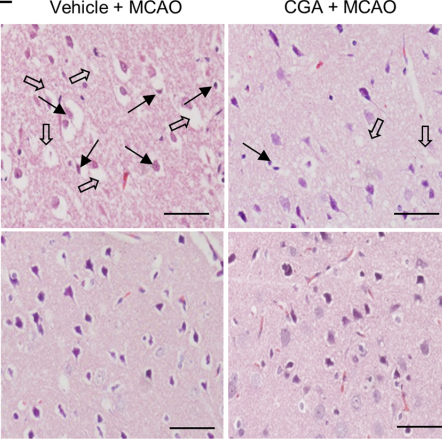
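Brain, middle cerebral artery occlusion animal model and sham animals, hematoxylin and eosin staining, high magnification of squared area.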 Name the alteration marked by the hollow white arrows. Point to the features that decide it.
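The hollow arrows point to clear, empty-looking spaces in the pink tissue.
Answer: vacuolated and swollen forms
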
